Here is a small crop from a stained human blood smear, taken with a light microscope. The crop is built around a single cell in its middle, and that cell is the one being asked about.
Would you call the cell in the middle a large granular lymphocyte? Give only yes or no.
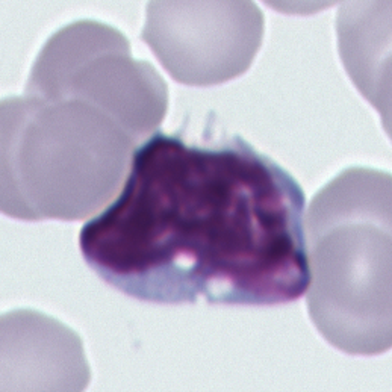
no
